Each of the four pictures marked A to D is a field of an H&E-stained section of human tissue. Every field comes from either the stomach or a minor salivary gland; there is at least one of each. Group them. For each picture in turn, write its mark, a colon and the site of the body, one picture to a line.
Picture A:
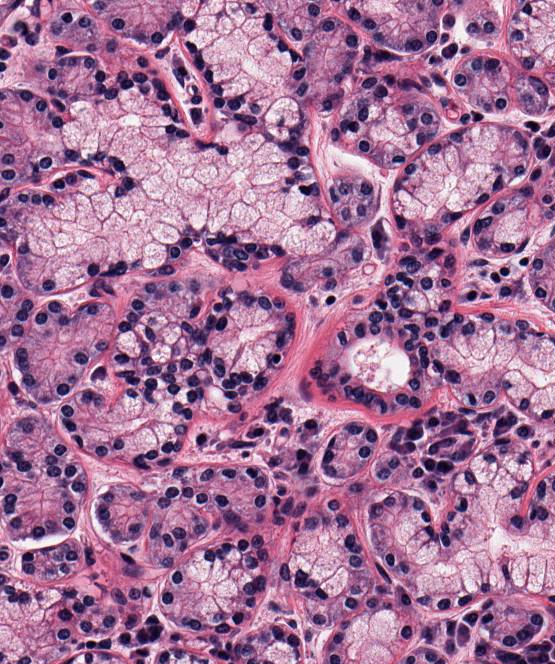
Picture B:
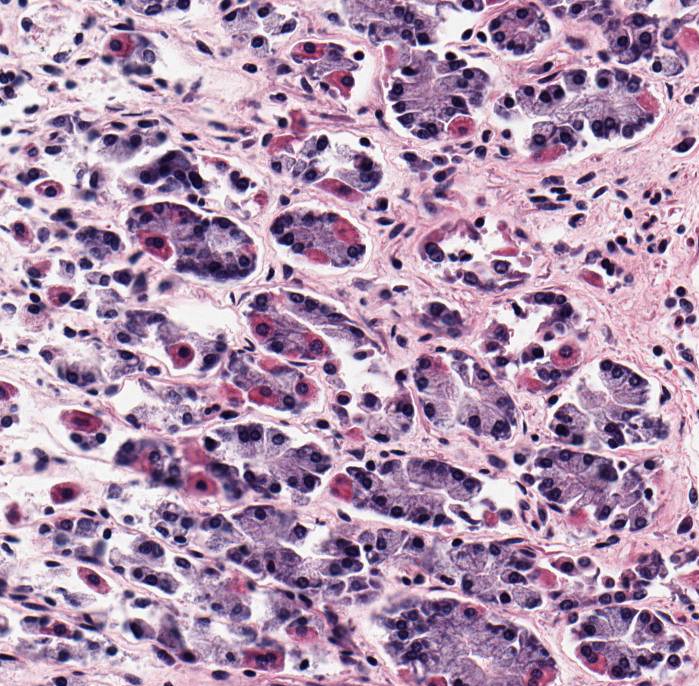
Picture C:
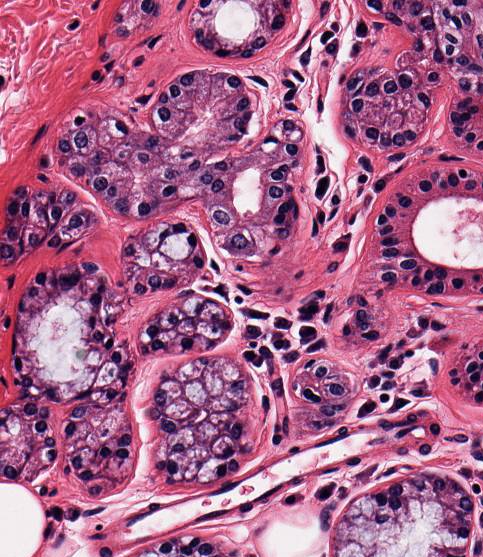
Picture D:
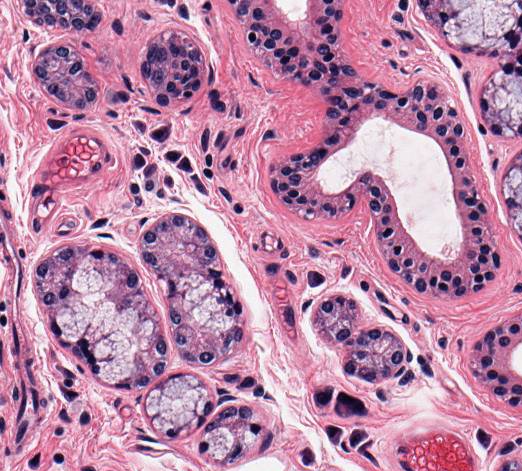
A: minor salivary gland
B: stomach
C: minor salivary gland
D: minor salivary gland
